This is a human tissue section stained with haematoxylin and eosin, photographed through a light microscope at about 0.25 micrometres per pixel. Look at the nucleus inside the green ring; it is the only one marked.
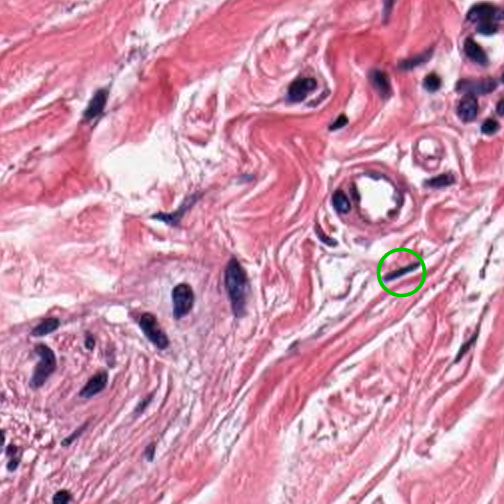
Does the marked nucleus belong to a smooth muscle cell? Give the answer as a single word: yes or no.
no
